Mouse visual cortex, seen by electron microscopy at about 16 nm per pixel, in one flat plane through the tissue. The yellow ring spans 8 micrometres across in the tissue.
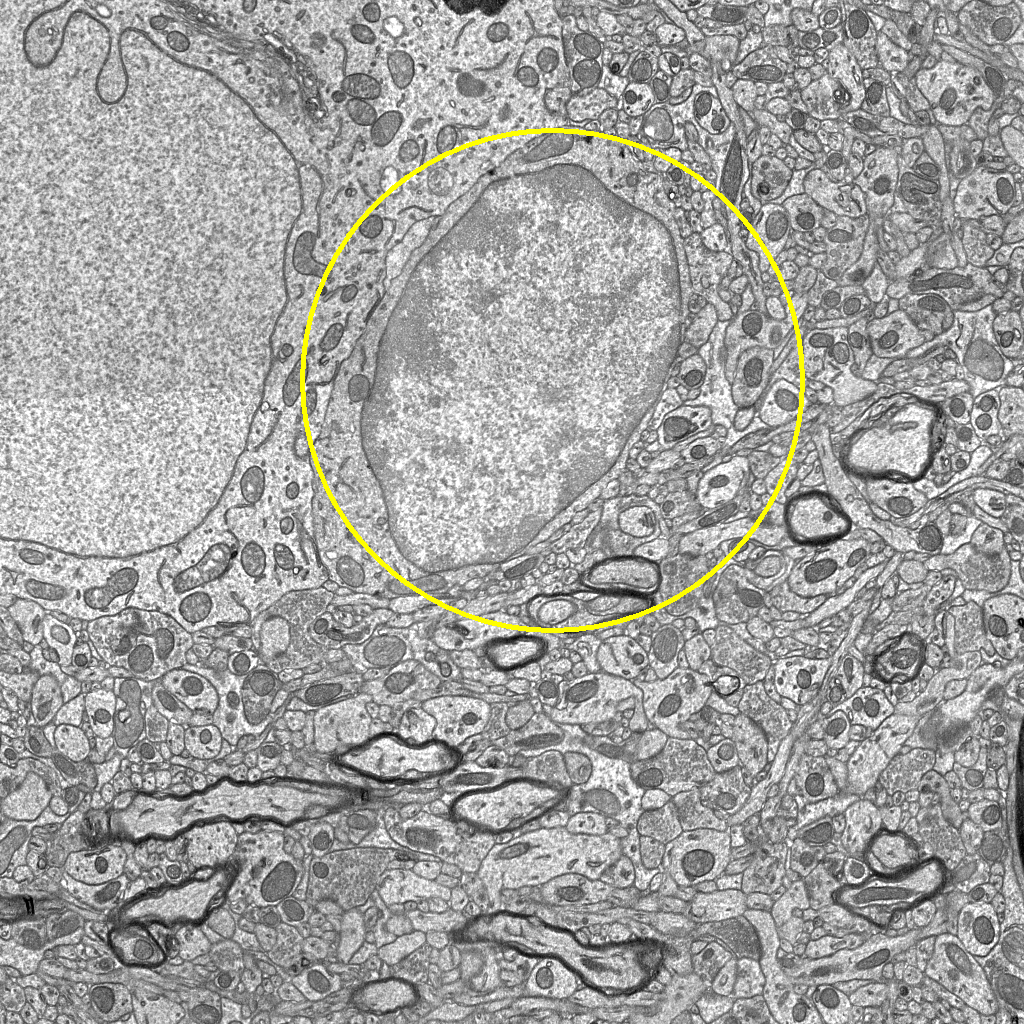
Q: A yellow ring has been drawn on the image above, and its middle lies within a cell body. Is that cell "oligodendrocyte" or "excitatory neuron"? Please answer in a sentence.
The ring's middle lies in the cell body of an oligodendrocyte.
